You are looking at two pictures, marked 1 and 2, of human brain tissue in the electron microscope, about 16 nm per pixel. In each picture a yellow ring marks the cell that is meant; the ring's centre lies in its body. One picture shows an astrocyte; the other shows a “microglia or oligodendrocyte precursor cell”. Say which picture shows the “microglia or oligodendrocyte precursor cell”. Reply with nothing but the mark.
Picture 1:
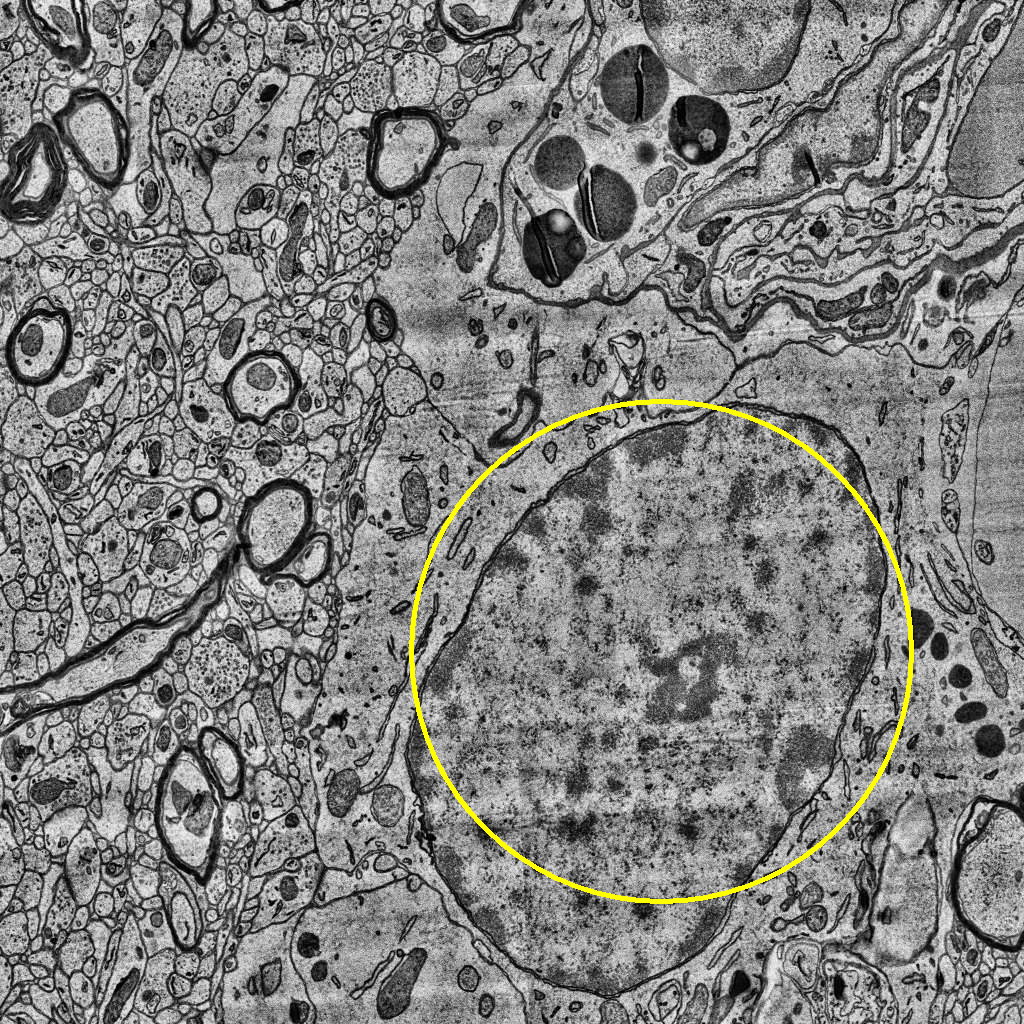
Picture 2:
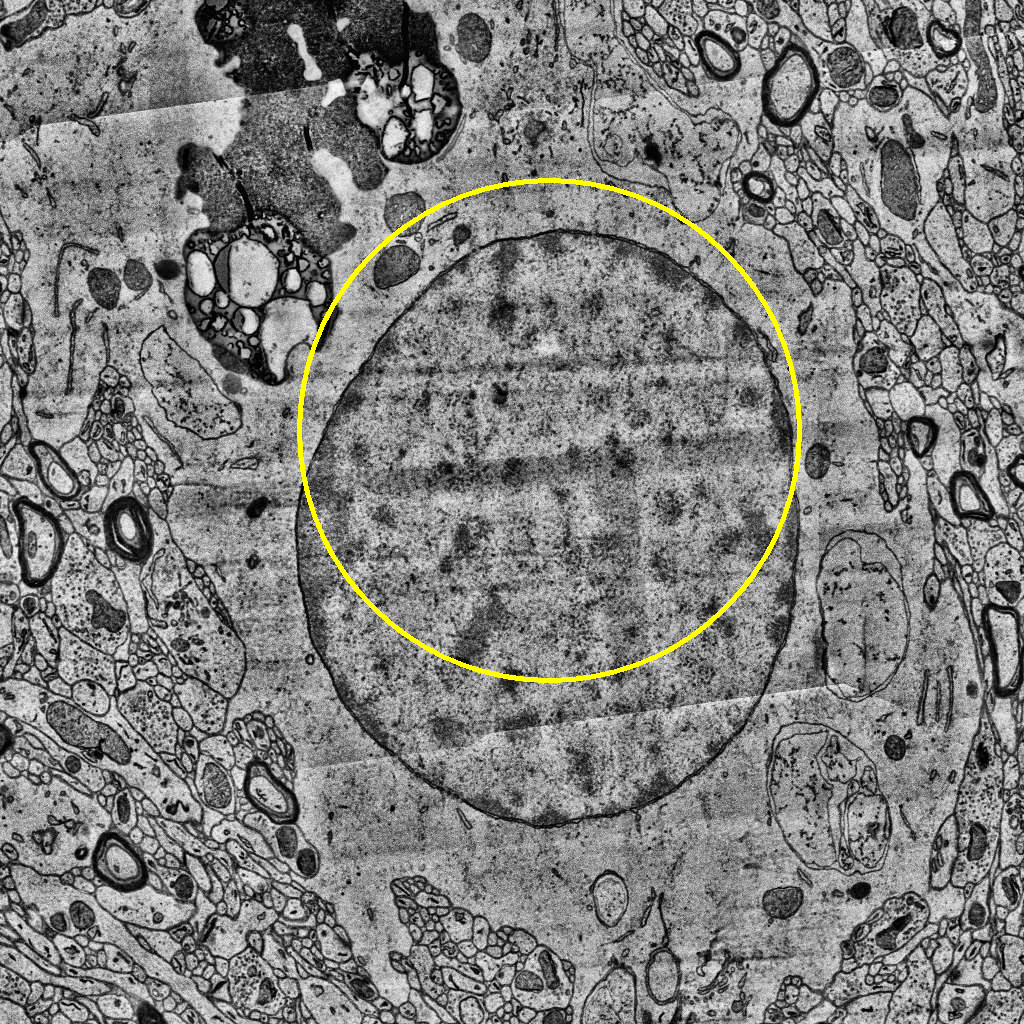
1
